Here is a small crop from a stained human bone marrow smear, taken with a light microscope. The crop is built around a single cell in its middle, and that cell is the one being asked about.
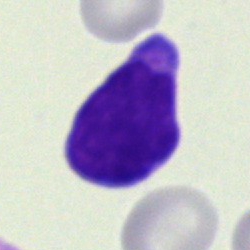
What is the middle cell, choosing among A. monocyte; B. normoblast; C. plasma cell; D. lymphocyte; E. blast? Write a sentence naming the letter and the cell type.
The central cell of the crop is a lymphocyte, which makes D the correct option.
